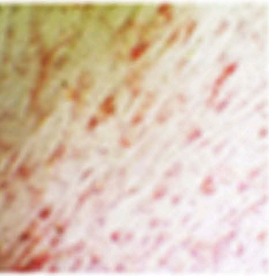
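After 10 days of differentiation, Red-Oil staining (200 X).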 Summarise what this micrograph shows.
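This field shows a dense culture of cells that are mostly elongated and spindle-shaped rather than rounded. The cells lie in parallel streams running diagonally across the field. Red staining is faint and scattered in small patches, and few rounded, lipid-filled cells are seen.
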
